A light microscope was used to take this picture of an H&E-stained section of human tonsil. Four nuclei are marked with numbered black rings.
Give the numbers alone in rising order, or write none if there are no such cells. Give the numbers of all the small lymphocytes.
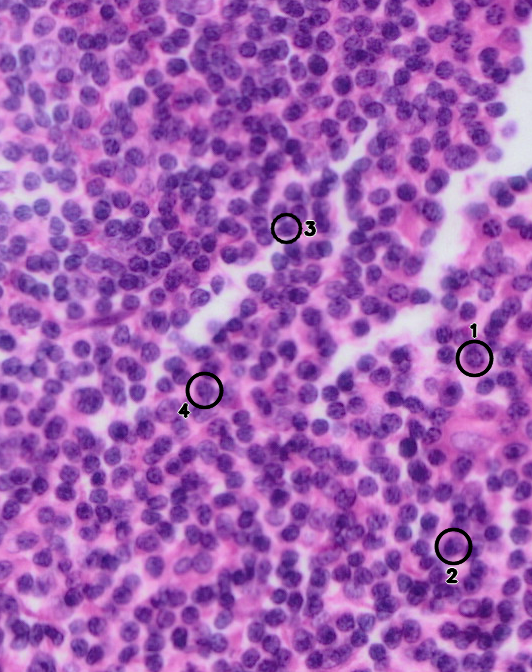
2, 3, 4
